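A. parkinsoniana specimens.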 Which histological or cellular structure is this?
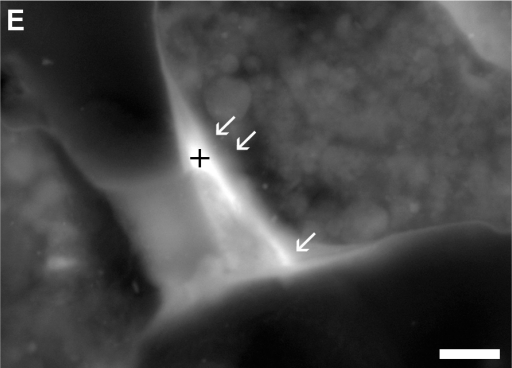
Foramen/septum.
